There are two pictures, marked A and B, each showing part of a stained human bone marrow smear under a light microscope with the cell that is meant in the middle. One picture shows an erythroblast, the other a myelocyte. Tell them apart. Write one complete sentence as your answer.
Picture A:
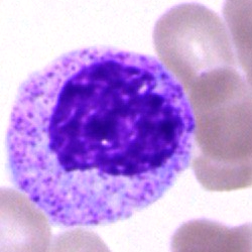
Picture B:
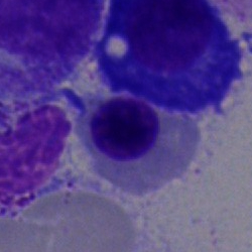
Picture A shows a myelocyte and picture B shows an erythroblast.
